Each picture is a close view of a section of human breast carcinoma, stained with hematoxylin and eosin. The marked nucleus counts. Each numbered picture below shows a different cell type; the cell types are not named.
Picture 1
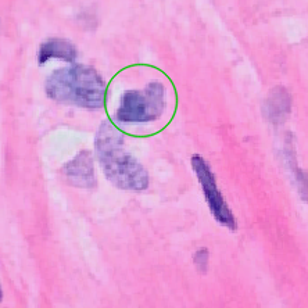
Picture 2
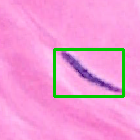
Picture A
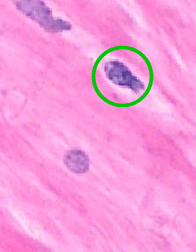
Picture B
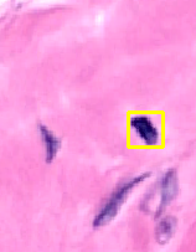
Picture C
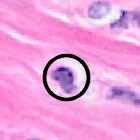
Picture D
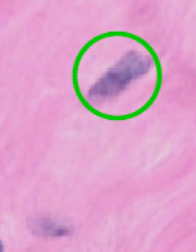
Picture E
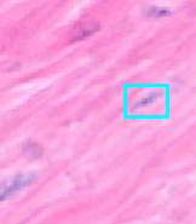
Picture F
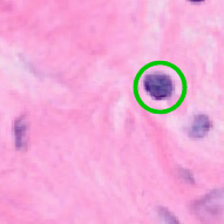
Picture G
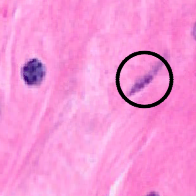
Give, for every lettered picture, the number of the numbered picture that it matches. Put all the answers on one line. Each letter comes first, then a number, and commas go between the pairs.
A 1, B 1, C 1, D 2, E 2, F 1, G 2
